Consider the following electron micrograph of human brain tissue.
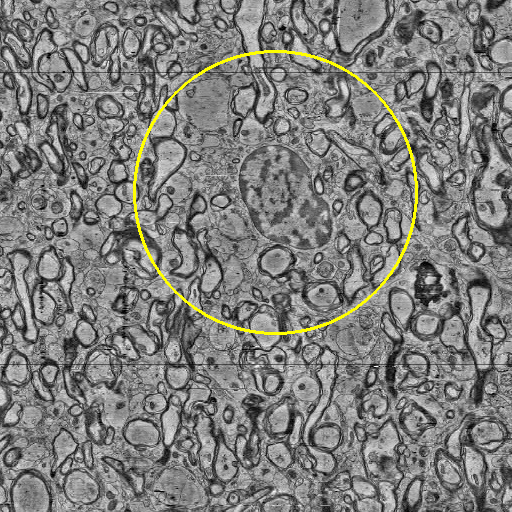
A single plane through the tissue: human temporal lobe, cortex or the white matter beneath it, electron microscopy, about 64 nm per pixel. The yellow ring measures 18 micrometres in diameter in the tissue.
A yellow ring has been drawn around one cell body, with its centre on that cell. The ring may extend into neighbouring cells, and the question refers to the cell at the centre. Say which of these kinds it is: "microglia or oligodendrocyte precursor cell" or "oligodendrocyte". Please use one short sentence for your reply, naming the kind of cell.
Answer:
The centre of the ring falls on a microglial cell or oligodendrocyte precursor cell.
